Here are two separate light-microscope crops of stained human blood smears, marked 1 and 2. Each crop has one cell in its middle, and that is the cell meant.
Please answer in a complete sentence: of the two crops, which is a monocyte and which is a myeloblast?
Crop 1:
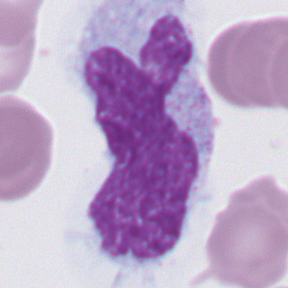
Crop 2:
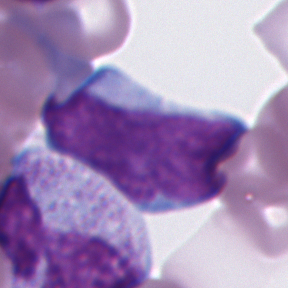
Crop 1 is a monocyte, whilst crop 2 is a myeloblast.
